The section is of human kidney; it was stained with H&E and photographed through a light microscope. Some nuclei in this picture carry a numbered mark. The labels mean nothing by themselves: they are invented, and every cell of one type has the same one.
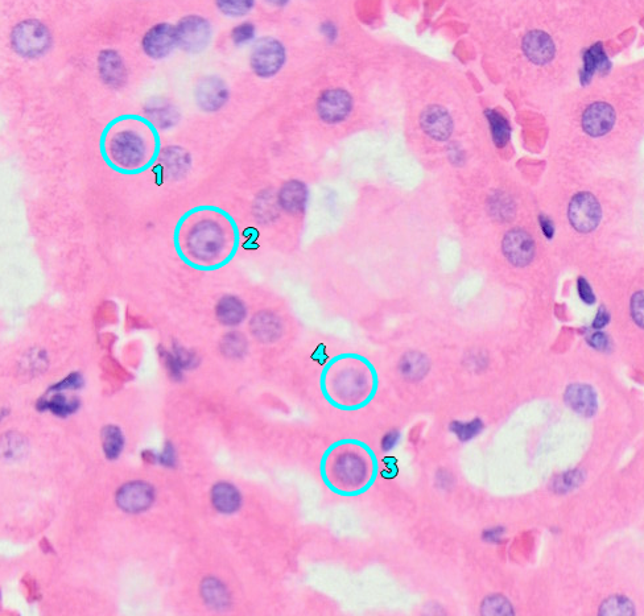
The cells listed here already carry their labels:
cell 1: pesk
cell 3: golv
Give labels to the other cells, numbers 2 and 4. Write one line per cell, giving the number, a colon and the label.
2: golv
4: golv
